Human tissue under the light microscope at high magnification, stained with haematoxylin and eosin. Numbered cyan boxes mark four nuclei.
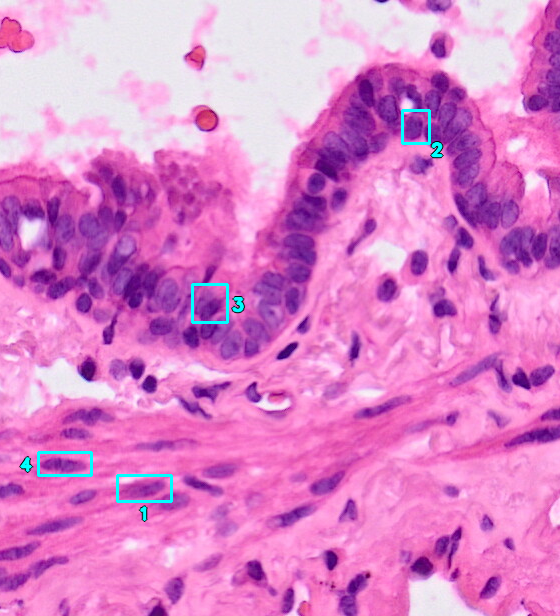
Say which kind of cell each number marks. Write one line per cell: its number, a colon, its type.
1: smooth muscle cell or pericyte
2: ciliated epithelial cell
3: ciliated epithelial cell
4: smooth muscle cell or pericyte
